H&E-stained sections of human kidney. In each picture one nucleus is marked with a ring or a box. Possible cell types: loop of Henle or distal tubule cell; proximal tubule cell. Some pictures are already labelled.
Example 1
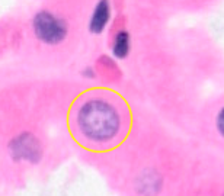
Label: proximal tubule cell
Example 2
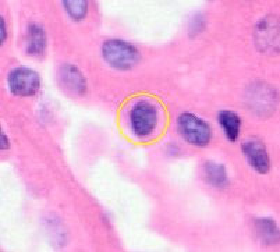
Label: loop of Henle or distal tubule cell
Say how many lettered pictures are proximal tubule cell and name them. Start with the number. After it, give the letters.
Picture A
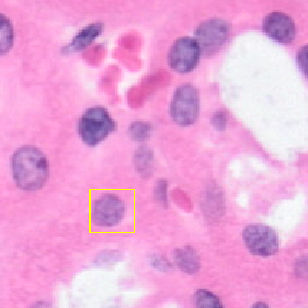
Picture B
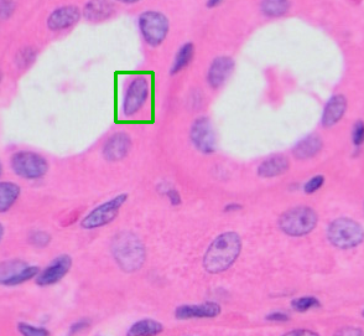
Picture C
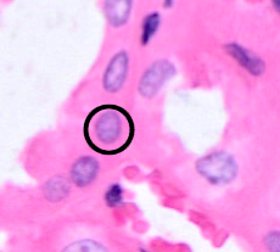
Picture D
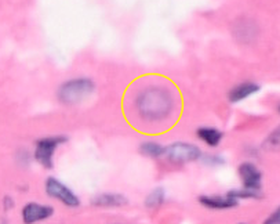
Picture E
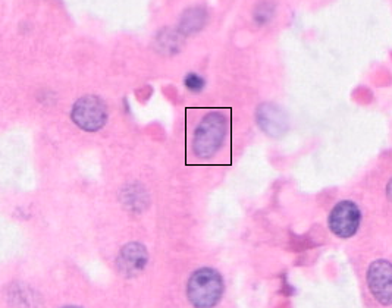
Count: 3 (C, D, E)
